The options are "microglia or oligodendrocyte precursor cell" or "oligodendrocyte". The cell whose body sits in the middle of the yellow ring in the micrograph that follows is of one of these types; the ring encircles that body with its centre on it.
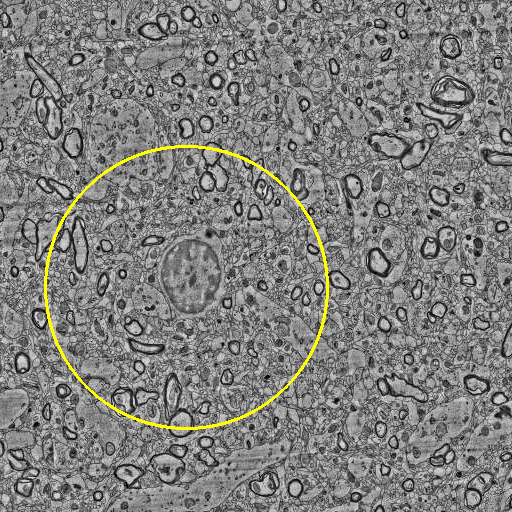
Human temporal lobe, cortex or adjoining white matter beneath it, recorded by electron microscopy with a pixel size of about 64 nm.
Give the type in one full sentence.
Going by the micrograph, the cell centred in the yellow ring is an oligodendrocyte.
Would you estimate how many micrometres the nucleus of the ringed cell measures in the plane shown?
The nucleus is approximately 5 micrometers long by 4 micrometers wide in this plane.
